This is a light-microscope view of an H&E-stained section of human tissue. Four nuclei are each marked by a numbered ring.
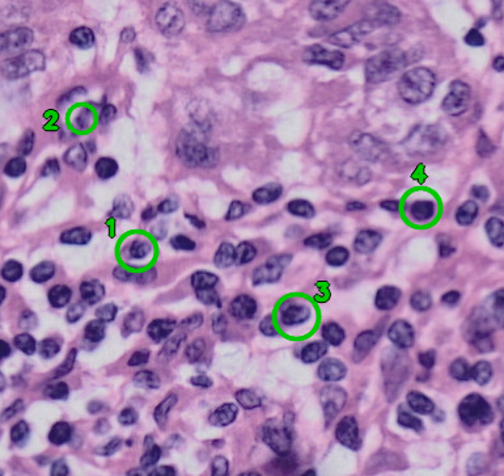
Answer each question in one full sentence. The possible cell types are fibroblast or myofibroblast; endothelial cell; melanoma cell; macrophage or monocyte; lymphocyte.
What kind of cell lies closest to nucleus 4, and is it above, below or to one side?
Lying to the left of nucleus 4, the nearest nucleus is that of a macrophage or monocyte.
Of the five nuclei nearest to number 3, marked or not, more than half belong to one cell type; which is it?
Of the five nuclei nearest to number 3, most belong to lymphocytes.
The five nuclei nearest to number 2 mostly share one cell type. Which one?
Endothelial cells make up most of the five nuclei closest to number 2.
